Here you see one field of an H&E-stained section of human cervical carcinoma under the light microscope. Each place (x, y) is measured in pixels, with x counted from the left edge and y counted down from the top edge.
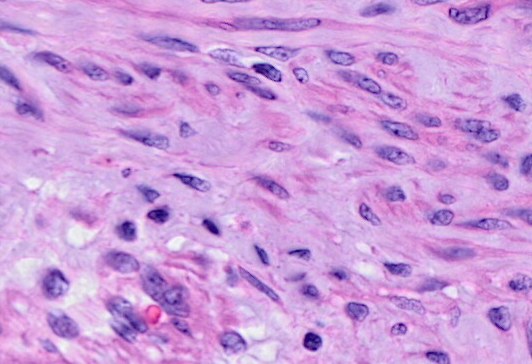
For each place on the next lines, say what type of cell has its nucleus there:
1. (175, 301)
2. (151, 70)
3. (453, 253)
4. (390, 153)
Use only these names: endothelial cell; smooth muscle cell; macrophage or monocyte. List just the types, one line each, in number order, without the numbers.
endothelial cell
smooth muscle cell
smooth muscle cell
smooth muscle cell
